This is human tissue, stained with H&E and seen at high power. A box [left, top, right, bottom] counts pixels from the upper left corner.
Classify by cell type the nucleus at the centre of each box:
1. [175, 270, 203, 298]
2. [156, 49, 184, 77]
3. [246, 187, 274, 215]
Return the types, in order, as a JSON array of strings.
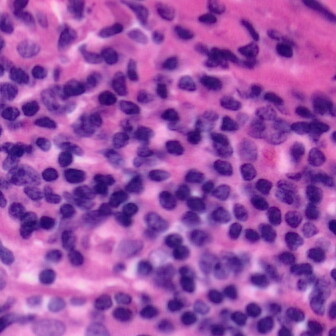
["small lymphocyte", "plasma cell", "small lymphocyte"]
